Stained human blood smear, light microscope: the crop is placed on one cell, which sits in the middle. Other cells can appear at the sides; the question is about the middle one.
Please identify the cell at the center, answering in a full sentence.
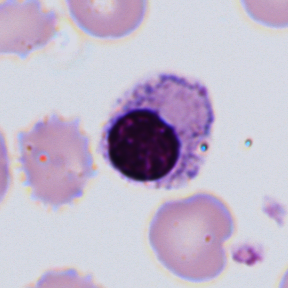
As for the cell in the middle, it is a normoblast.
